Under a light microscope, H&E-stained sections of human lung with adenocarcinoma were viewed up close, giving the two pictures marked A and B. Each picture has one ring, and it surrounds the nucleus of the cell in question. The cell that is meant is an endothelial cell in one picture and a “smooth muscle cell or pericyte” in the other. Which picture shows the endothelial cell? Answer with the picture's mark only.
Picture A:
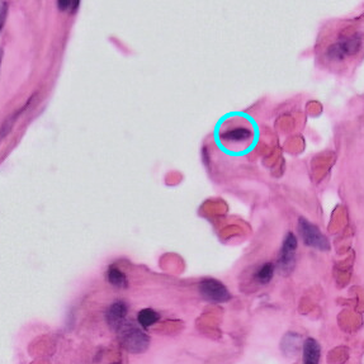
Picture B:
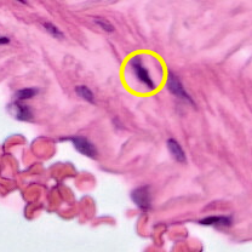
A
